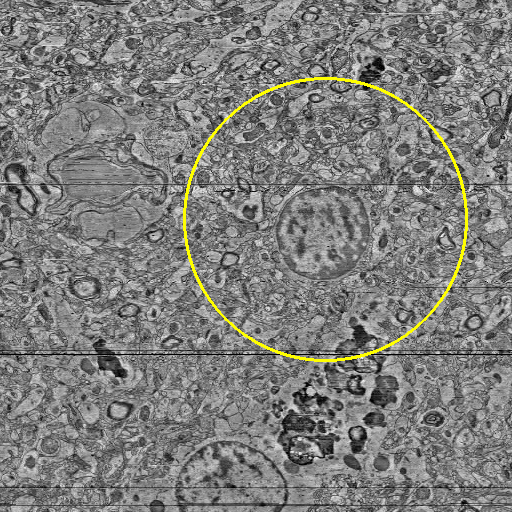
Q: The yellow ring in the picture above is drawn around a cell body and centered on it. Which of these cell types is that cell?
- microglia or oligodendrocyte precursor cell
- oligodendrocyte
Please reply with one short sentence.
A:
The cell body at the ring's center belongs to an oligodendrocyte.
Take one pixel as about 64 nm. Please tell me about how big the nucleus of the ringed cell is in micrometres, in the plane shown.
The nucleus is about 6 micrometres across in this plane.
